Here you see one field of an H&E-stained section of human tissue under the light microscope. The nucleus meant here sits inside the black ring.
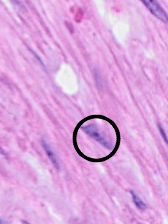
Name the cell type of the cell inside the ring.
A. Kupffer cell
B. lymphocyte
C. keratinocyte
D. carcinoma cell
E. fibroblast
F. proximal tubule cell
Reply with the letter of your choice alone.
E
